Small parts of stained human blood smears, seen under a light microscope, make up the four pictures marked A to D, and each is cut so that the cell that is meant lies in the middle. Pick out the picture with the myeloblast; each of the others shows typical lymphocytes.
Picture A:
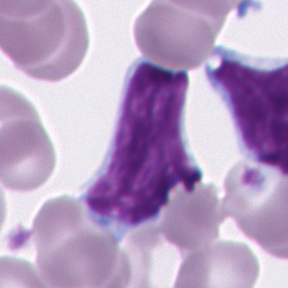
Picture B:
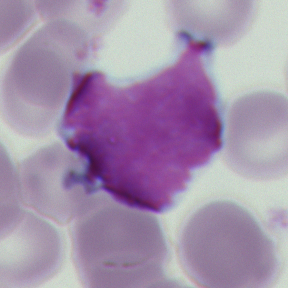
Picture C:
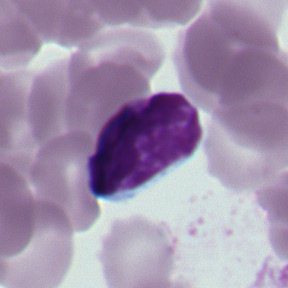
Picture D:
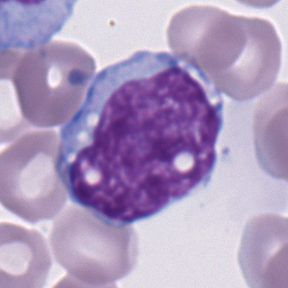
D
